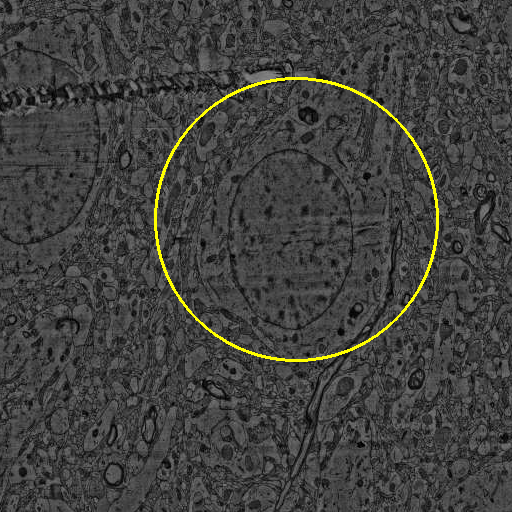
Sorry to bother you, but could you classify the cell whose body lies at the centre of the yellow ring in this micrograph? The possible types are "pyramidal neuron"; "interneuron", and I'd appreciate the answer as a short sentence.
The ringed cell body is that of a pyramidal neuron.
